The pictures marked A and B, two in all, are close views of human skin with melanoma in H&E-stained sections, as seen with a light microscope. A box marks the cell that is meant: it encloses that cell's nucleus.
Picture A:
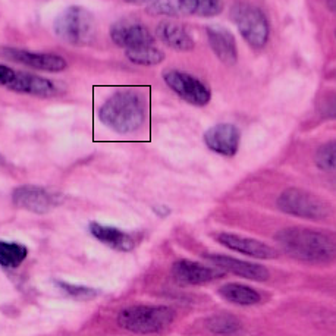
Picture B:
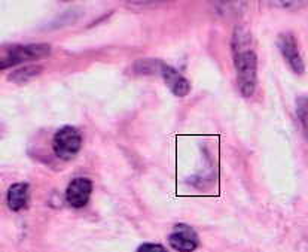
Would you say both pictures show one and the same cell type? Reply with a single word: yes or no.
yes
